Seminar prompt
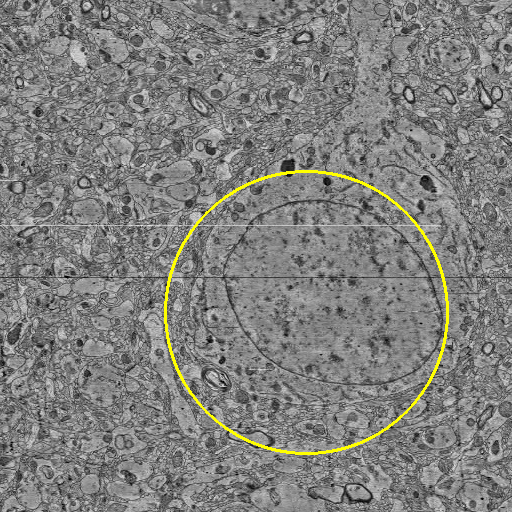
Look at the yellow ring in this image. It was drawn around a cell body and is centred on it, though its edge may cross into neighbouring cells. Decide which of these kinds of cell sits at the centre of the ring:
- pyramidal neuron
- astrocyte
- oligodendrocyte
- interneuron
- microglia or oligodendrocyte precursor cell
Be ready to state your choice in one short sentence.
The kind of cell at the ring's centre is a pyramidal neuron.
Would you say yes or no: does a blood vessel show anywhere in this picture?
No, a blood vessel is absent from this picture.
